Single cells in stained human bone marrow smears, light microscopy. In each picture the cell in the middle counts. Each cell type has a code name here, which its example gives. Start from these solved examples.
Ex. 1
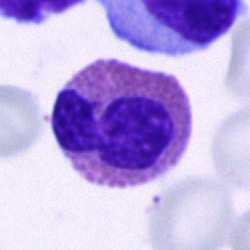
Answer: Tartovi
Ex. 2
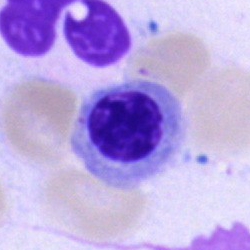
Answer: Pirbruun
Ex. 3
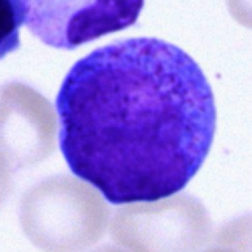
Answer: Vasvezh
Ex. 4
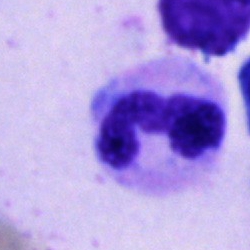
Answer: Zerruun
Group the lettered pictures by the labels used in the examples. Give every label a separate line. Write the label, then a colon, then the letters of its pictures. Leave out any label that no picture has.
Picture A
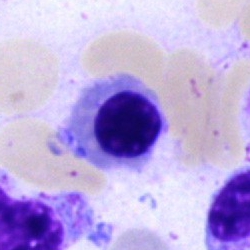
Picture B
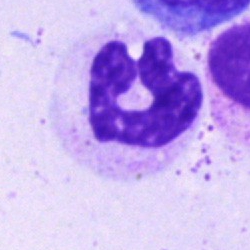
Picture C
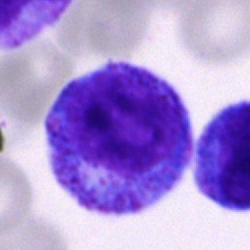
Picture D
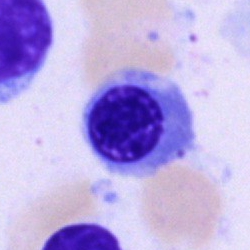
Pirbruun: A, D
Vasvezh: C
Zerruun: B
